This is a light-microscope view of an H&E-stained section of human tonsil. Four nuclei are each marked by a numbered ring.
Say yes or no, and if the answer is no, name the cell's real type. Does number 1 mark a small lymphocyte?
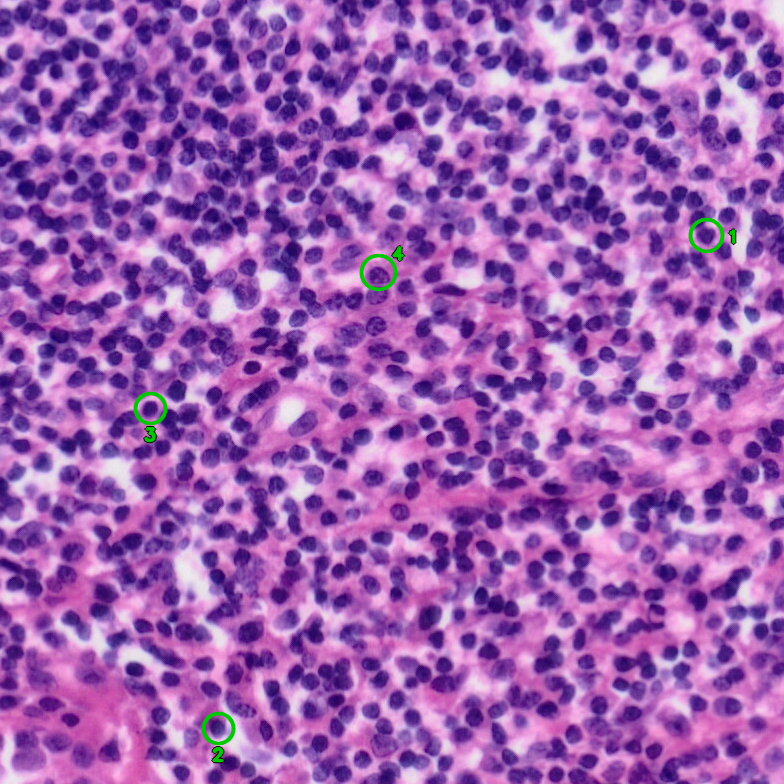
Yes.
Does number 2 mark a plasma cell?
Yes.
